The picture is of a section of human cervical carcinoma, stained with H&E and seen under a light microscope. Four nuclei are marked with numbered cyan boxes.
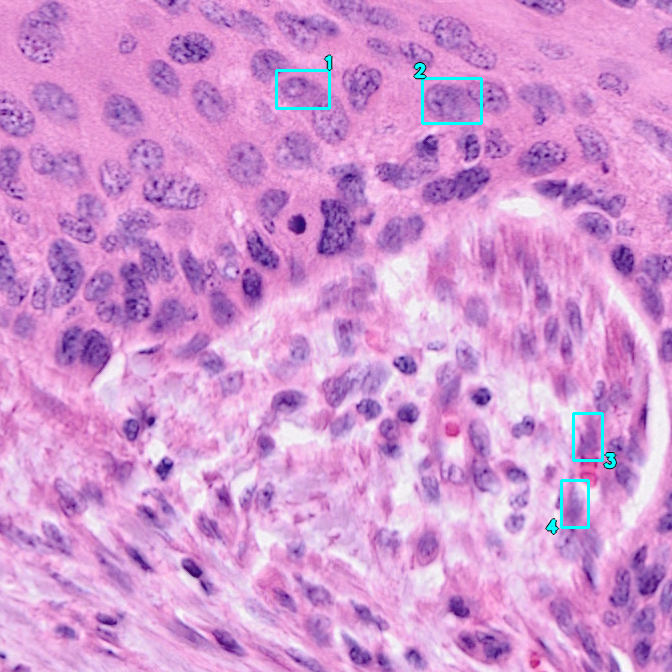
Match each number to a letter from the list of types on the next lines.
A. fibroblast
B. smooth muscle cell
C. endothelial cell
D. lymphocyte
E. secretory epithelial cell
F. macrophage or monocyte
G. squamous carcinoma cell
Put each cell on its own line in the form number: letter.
1: G
2: G
3: C
4: C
